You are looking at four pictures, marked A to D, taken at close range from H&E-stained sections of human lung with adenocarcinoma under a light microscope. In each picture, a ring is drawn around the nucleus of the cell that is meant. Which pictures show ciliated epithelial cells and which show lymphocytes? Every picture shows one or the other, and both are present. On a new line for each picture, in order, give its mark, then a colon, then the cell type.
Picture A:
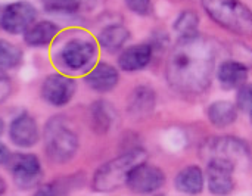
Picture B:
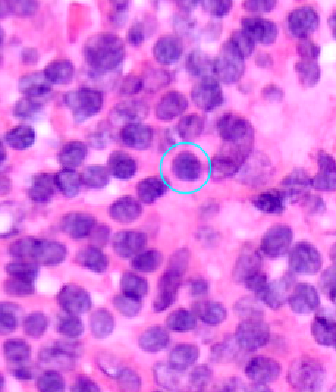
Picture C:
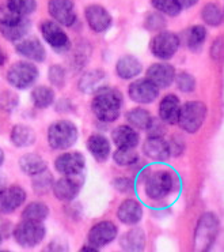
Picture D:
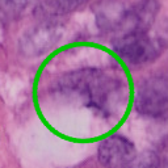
A: lymphocyte
B: lymphocyte
C: lymphocyte
D: ciliated epithelial cell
